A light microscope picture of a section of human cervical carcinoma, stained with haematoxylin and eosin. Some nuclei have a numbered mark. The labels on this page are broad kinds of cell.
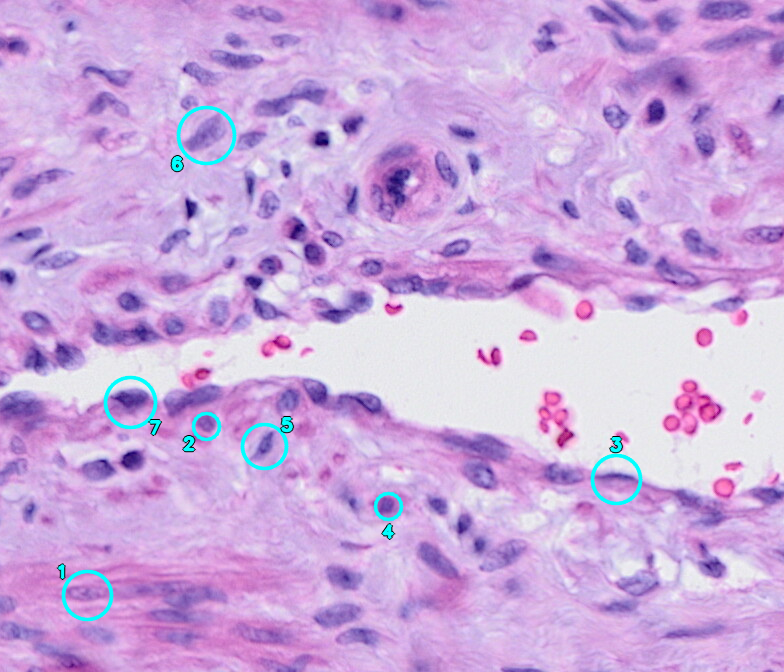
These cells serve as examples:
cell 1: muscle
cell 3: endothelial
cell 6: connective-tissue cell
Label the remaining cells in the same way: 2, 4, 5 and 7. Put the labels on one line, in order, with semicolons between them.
muscle; muscle; connective-tissue cell; endothelial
